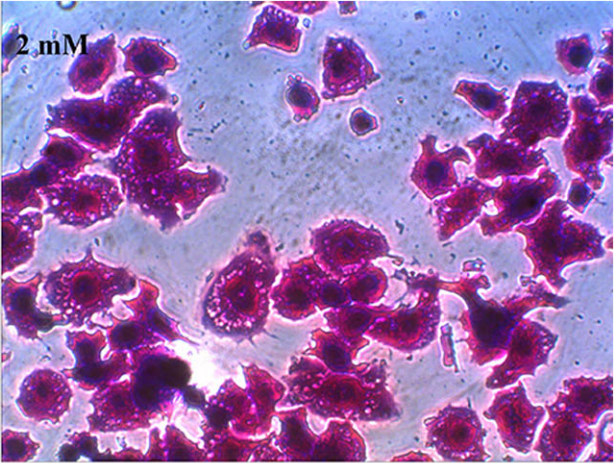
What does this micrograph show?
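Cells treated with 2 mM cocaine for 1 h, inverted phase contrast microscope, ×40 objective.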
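The field shows scattered groups of cultured cells stained magenta to purple, many containing small vacuoles. The cells are mostly rounded or polygonal with ragged edges, separated by wide pale background. Their cytoplasm is speckled with small clear round spaces, giving a dotted texture. A darker central area is seen in many cells, with a thin pale rim at the cell edge. Some cells lie singly and others touch in small clusters.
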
